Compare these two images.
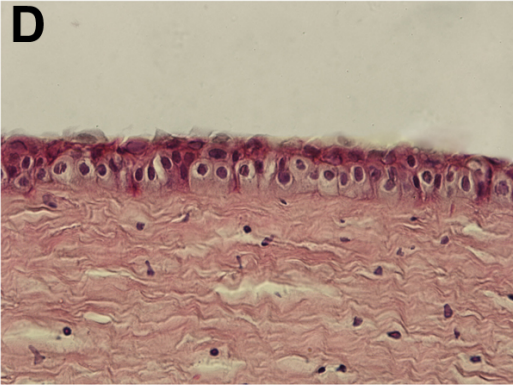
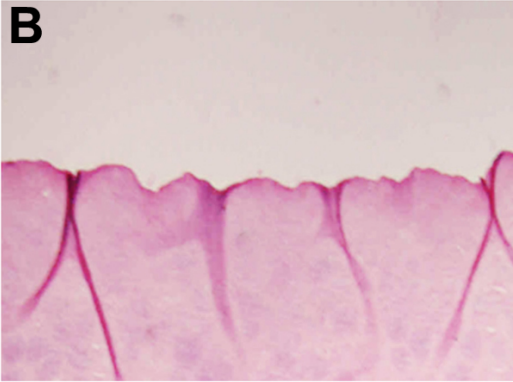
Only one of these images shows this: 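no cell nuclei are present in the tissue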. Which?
The second image.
